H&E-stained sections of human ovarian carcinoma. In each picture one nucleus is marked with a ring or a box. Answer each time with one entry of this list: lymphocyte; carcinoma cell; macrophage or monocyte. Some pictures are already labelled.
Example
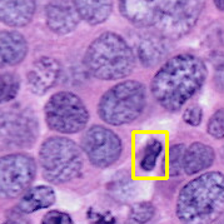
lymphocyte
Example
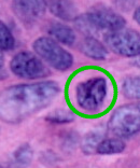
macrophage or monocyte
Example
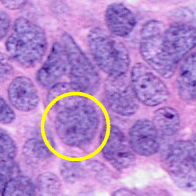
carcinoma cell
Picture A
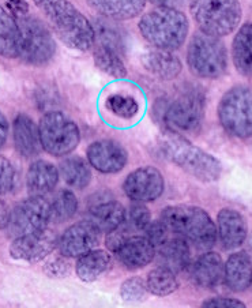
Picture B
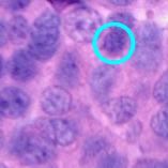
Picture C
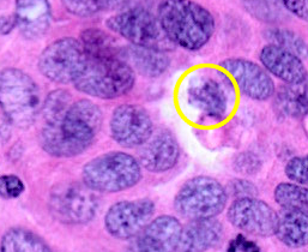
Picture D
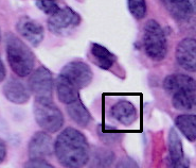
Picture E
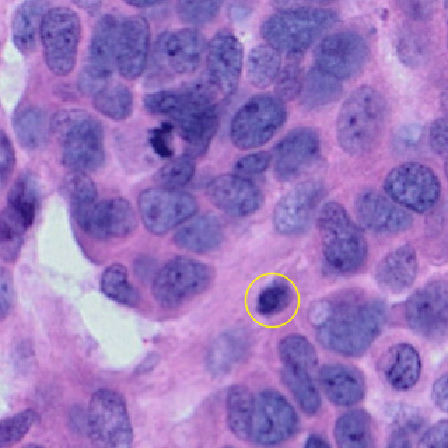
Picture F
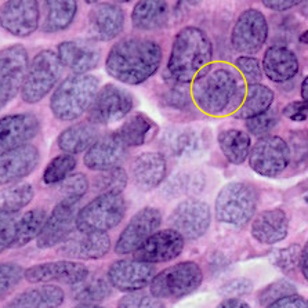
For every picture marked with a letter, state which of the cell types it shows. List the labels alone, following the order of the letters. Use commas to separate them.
lymphocyte, carcinoma cell, macrophage or monocyte, macrophage or monocyte, lymphocyte, carcinoma cell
